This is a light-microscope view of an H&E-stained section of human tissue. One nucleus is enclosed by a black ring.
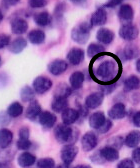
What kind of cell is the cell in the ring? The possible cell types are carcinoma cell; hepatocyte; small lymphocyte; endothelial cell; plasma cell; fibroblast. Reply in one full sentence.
In short, the cell in the ring on this section is a small lymphocyte.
